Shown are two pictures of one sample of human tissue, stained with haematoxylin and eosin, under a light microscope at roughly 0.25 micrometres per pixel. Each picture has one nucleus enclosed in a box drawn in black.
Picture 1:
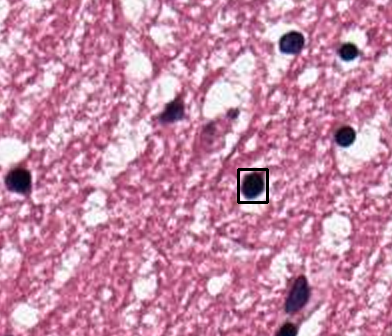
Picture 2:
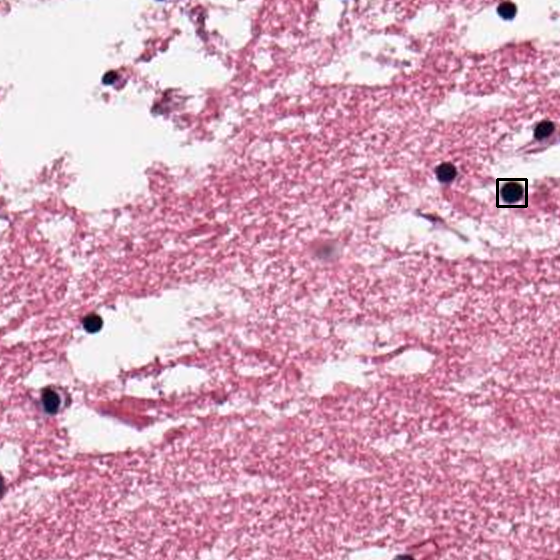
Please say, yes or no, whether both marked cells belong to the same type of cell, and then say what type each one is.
Yes, both are oligodendrocytes.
